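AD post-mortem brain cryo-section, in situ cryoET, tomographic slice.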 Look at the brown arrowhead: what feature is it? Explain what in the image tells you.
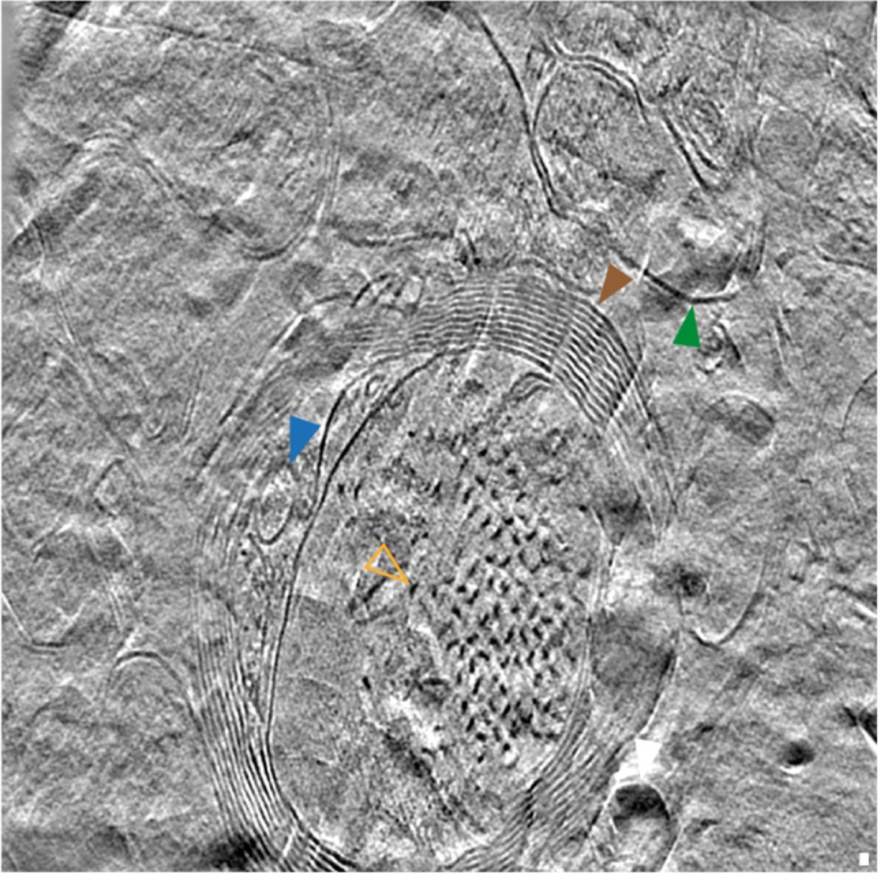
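The arrowhead points to a thick band of many tightly stacked, parallel membranes. The multilamellar band curves around an enclosed space. On this evidence: myelinated axon.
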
